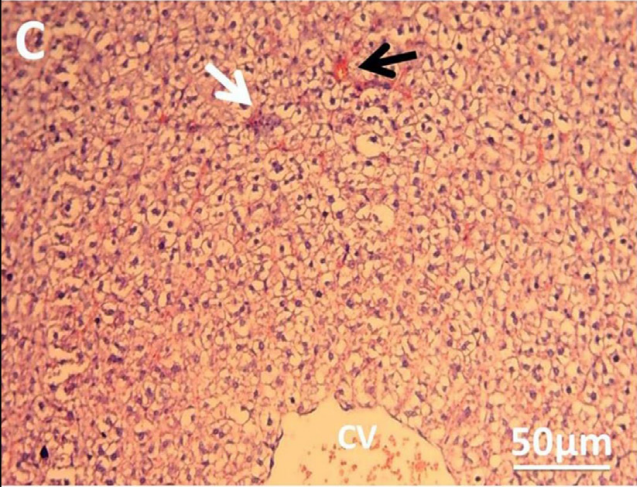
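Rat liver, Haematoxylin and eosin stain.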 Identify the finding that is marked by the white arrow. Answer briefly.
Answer: Inflammatory cell infiltration.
